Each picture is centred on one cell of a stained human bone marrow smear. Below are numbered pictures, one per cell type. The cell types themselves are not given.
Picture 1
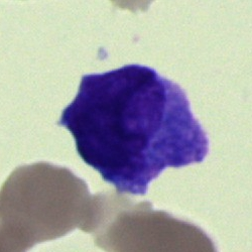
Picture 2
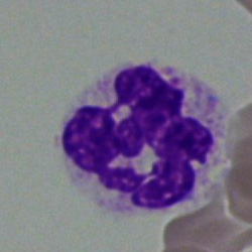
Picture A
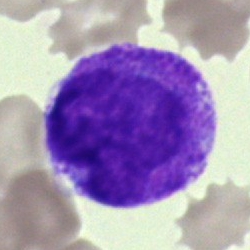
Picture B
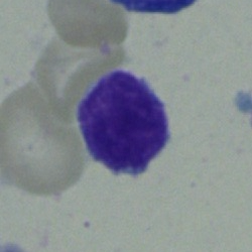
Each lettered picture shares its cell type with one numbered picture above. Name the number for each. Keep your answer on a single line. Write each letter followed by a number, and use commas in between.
A 1, B 1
